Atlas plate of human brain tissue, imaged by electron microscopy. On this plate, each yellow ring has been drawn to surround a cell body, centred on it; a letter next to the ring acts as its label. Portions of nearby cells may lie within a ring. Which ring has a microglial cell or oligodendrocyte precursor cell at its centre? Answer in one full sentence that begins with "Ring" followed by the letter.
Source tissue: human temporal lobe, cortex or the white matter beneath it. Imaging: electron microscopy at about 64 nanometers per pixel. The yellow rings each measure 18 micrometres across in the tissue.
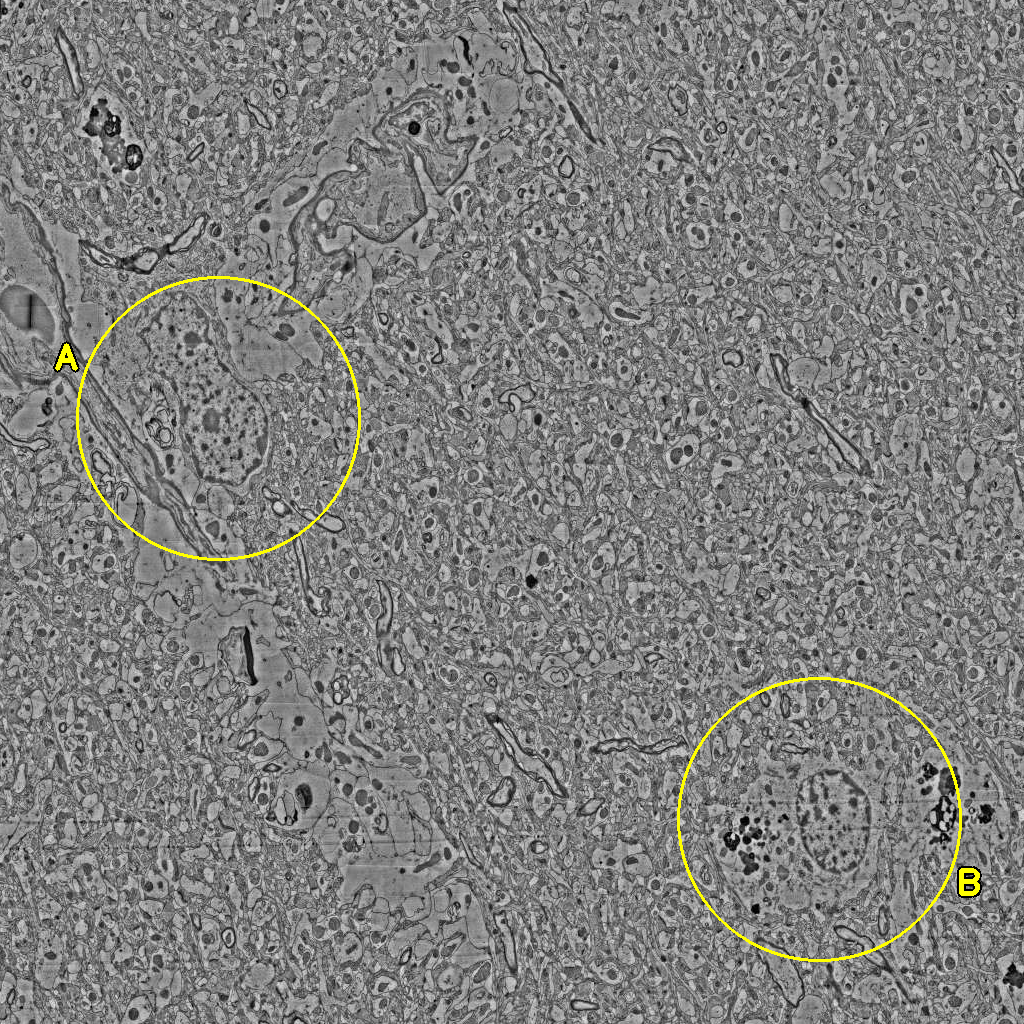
Ring A is drawn around the requested cell, which lies at its centre in the picture.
